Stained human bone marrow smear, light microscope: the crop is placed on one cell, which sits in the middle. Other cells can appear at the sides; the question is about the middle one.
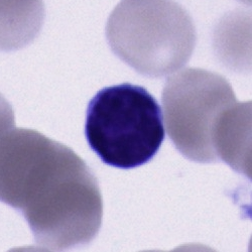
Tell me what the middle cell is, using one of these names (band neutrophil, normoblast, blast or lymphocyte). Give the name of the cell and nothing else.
lymphocyte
